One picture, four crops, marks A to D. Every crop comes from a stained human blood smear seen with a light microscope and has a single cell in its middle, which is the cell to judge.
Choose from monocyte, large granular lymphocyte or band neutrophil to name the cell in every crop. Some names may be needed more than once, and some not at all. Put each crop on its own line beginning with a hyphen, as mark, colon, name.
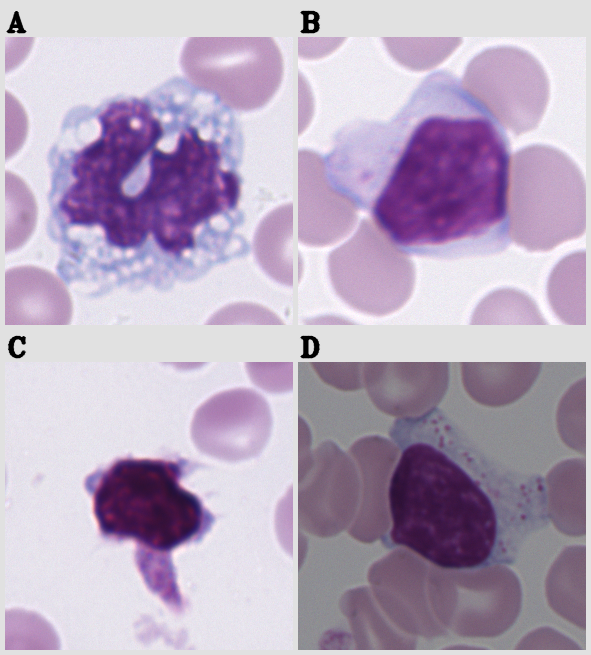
- A: monocyte
- B: large granular lymphocyte
- C: large granular lymphocyte
- D: large granular lymphocyte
